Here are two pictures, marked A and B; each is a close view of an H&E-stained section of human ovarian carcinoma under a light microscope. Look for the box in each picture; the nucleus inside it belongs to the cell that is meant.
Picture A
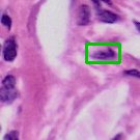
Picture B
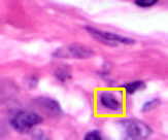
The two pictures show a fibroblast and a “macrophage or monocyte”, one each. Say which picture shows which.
A: fibroblast
B: macrophage or monocyte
